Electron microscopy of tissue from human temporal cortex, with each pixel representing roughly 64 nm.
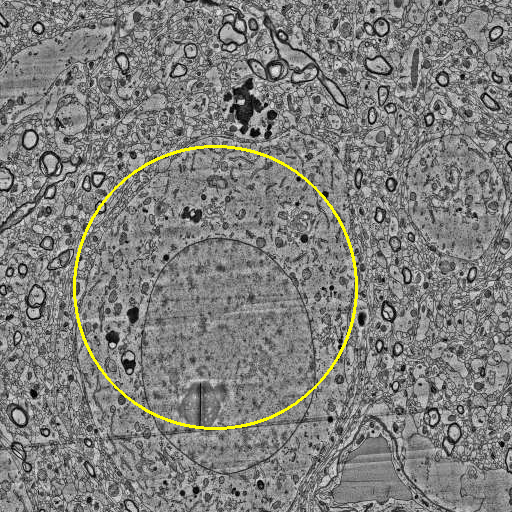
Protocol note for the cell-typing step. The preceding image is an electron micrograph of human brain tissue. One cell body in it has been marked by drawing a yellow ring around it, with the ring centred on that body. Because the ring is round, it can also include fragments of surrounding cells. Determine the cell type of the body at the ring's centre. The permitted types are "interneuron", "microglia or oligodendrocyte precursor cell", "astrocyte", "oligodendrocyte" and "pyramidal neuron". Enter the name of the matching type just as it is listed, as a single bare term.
pyramidal neuron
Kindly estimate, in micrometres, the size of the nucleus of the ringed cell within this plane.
In this plane the nucleus spans approximately 15 by 11 micrometers.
